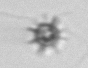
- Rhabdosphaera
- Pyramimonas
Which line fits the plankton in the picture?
Rhabdosphaera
